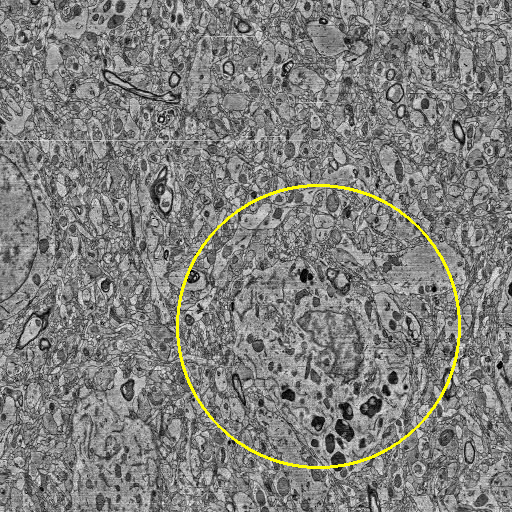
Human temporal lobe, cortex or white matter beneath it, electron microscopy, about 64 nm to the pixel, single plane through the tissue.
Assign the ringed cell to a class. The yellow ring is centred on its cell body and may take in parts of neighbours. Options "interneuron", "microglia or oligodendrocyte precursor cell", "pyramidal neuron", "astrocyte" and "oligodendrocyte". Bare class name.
interneuron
